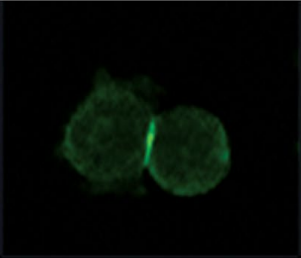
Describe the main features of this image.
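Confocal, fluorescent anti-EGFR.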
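The green outlines each cell's edge, with a faint, finely granular signal in the cytoplasm. A bright straight green band marks the boundary where the cells meet.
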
